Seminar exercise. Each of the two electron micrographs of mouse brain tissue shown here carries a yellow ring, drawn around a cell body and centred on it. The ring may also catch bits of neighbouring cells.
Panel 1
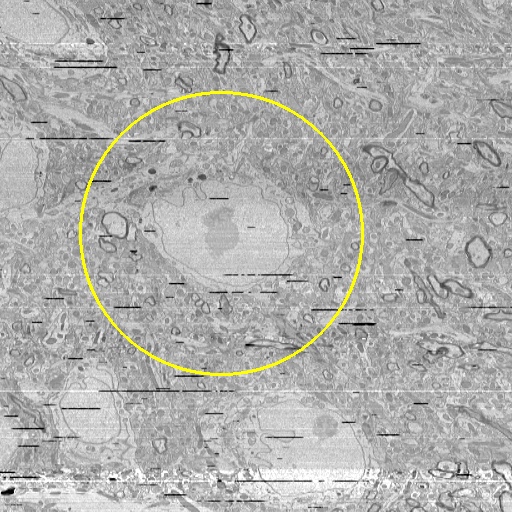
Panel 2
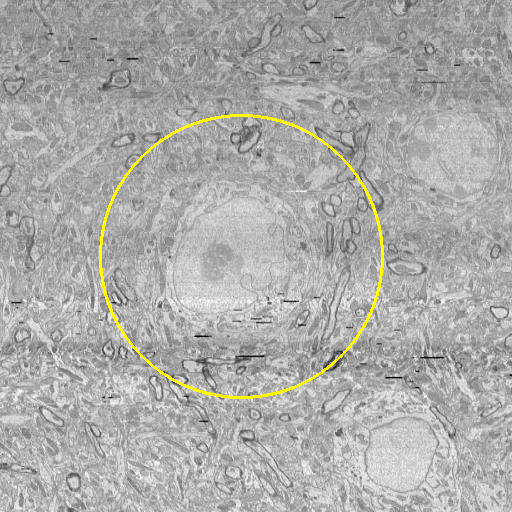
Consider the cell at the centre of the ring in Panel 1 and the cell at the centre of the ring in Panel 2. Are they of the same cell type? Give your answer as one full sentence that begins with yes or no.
No, the two cells are of two types.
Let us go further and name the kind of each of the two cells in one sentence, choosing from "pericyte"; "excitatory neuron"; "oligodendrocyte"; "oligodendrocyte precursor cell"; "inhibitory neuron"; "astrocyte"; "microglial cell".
The ring of the first picture is on an excitatory neuron, the ring of the second on an inhibitory neuron.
